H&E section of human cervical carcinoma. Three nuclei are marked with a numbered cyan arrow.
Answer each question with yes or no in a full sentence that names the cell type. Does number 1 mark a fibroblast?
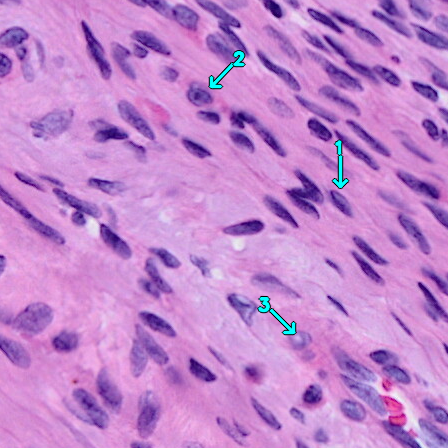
Yes, the cell at marker 1 is a fibroblast.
